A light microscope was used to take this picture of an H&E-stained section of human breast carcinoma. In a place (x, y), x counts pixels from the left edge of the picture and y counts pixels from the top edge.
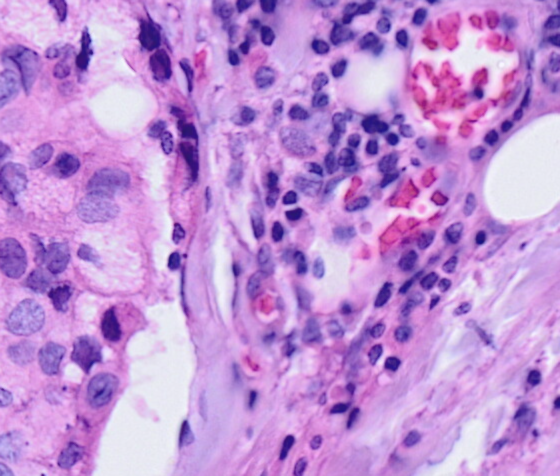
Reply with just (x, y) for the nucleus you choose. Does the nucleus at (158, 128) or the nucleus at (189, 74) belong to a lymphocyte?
(158, 128)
